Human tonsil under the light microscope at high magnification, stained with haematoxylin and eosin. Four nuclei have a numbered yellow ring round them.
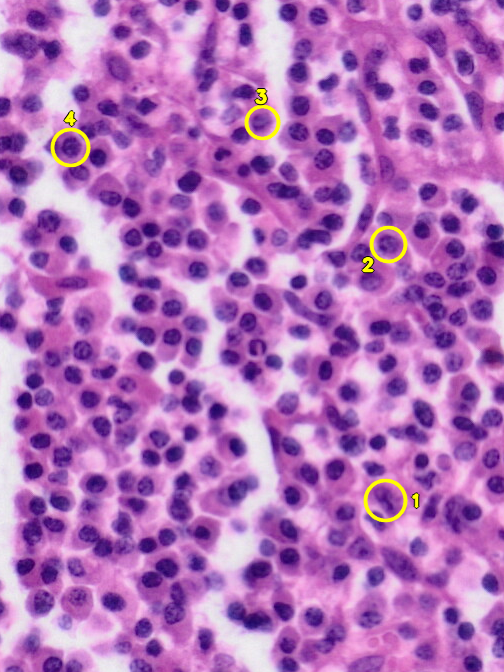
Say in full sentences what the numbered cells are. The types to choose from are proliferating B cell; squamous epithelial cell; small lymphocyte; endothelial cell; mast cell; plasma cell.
Cell 1 is a squamous epithelial cell, cell 2 is a plasma cell, cell 3 is a plasma cell and cell 4 is a plasma cell.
